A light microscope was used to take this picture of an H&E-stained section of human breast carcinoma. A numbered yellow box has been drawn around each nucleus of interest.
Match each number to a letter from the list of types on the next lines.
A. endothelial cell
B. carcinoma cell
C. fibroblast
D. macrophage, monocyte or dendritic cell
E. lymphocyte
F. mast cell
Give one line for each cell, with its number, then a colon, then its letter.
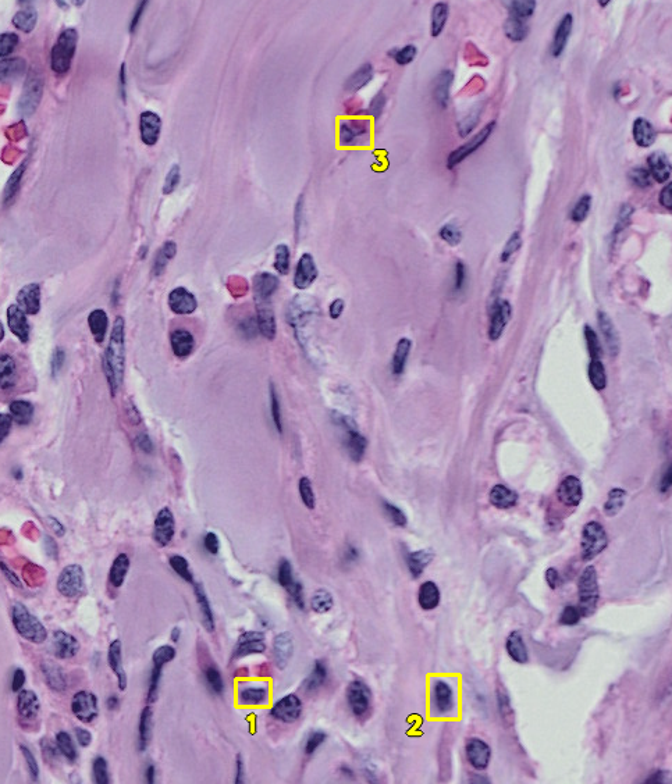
1: A
2: E
3: A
